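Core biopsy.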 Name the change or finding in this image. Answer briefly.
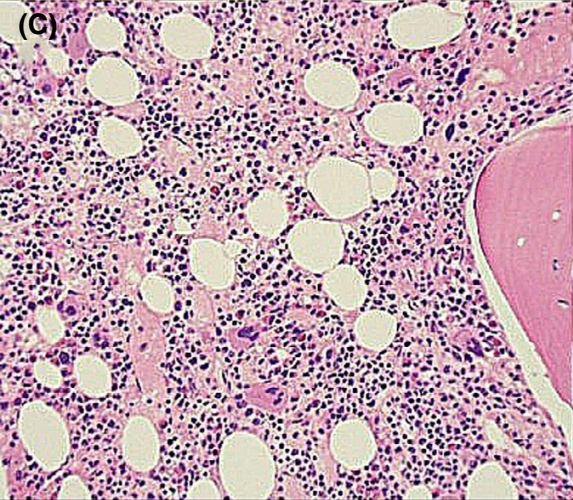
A: hypercellular marrow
